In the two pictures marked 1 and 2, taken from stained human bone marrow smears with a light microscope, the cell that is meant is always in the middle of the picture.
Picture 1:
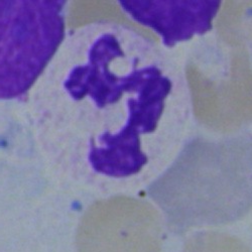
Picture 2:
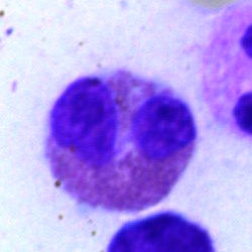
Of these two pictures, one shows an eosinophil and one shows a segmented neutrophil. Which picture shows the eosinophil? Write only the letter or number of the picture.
2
